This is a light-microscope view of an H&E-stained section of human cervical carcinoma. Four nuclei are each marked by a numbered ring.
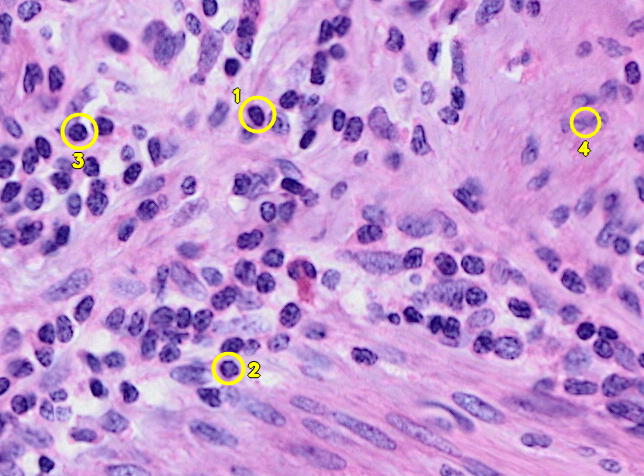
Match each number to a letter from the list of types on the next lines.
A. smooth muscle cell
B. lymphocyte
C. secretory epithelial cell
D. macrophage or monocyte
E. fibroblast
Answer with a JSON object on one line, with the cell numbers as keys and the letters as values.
{"1": "B", "2": "B", "3": "B", "4": "A"}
